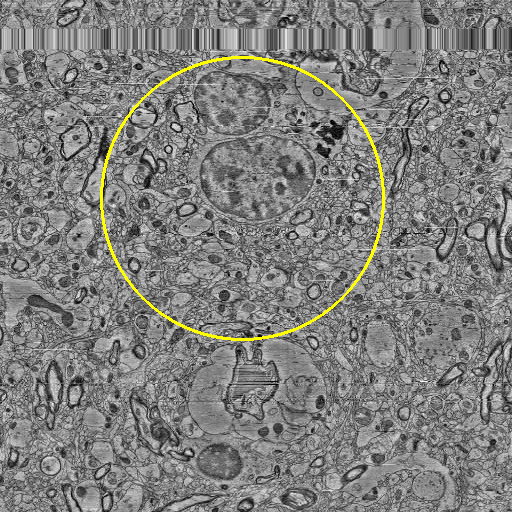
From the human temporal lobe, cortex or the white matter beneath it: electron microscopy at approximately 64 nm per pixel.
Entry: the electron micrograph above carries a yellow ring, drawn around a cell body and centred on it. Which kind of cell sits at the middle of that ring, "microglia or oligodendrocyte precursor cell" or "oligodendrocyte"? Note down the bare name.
oligodendrocyte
